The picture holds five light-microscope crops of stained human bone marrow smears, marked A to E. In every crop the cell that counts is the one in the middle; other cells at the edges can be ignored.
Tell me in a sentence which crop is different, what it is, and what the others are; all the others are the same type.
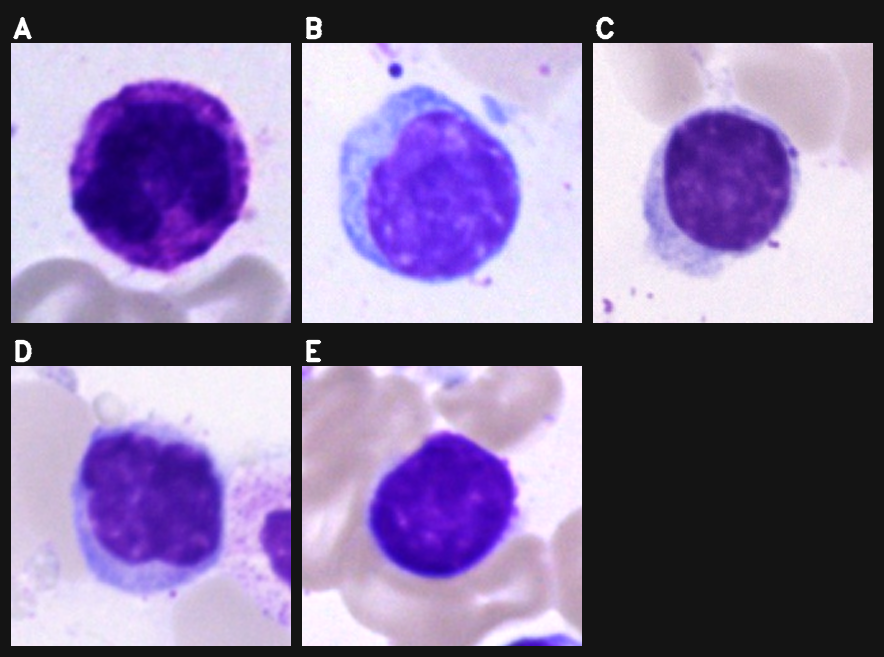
For this set, crop A is a basophil, and all the rest are lymphocytes.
